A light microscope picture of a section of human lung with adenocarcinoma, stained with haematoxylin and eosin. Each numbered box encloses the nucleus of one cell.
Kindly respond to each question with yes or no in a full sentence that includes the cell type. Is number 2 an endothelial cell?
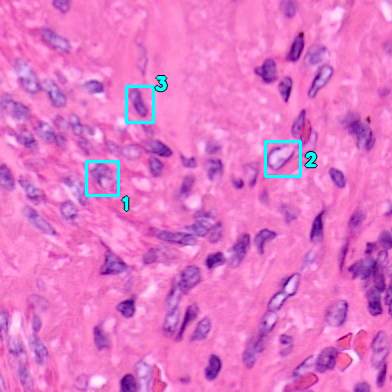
Yes, the cell that is numbered 2 is an endothelial cell.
